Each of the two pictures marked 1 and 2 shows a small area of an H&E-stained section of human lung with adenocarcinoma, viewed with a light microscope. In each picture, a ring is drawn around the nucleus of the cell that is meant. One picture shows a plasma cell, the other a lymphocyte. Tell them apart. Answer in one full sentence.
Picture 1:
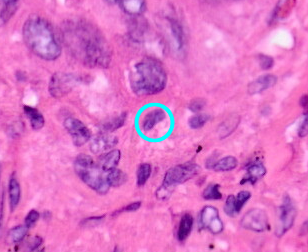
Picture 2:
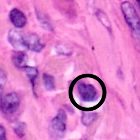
The cell in picture 1 is a lymphocyte, and the one in picture 2 is a plasma cell.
